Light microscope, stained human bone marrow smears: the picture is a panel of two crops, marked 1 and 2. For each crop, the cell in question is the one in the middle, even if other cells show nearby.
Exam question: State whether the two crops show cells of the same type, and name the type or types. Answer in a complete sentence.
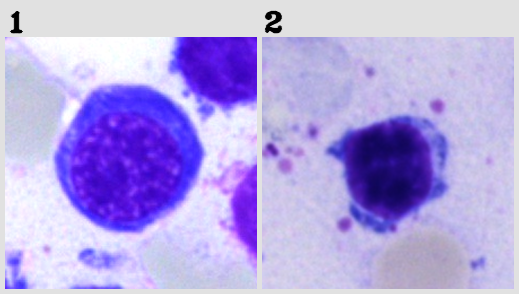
No, it is an erythroblast that crop 1 shows, and a lymphocyte that crop 2 shows.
